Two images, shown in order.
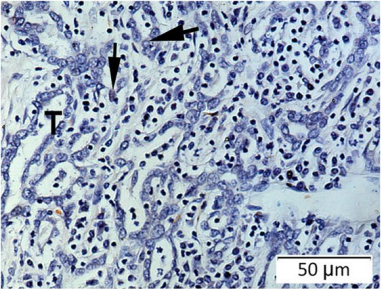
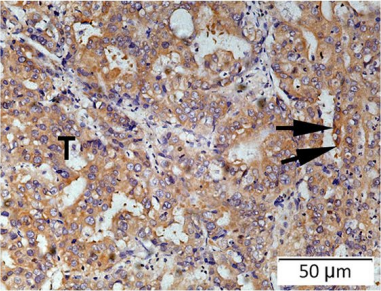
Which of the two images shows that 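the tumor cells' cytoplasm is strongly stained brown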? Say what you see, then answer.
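The second image. Second image: tumor cells show distinct brown cytoplasm throughout the field. First image: tumor cells are almost entirely blue, with only faint brown at most.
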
